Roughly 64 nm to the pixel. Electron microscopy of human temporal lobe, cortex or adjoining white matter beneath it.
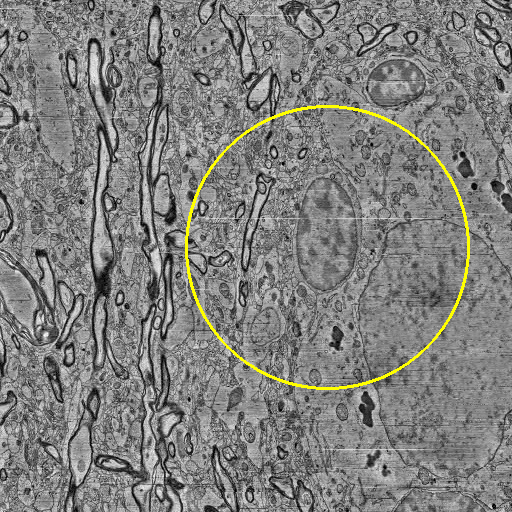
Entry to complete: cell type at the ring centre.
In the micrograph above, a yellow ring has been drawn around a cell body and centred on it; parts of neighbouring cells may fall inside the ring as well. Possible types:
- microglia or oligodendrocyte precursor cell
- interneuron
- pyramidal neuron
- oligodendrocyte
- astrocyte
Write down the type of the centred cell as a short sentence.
The ring is centred on an oligodendrocyte.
